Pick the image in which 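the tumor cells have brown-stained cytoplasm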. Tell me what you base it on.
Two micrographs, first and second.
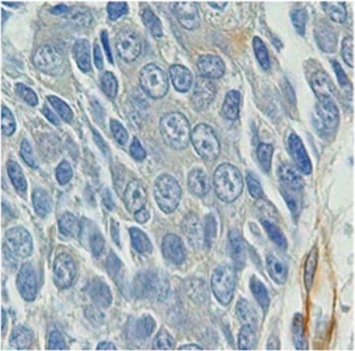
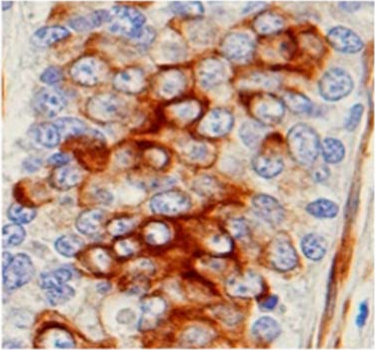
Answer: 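The second image. Second image: many large tumor cells show dense brown cytoplasm around blue nuclei. First image: the tumor cells show only pale blue-grey cytoplasm, with brown confined to a few spindle cells at the edge.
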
